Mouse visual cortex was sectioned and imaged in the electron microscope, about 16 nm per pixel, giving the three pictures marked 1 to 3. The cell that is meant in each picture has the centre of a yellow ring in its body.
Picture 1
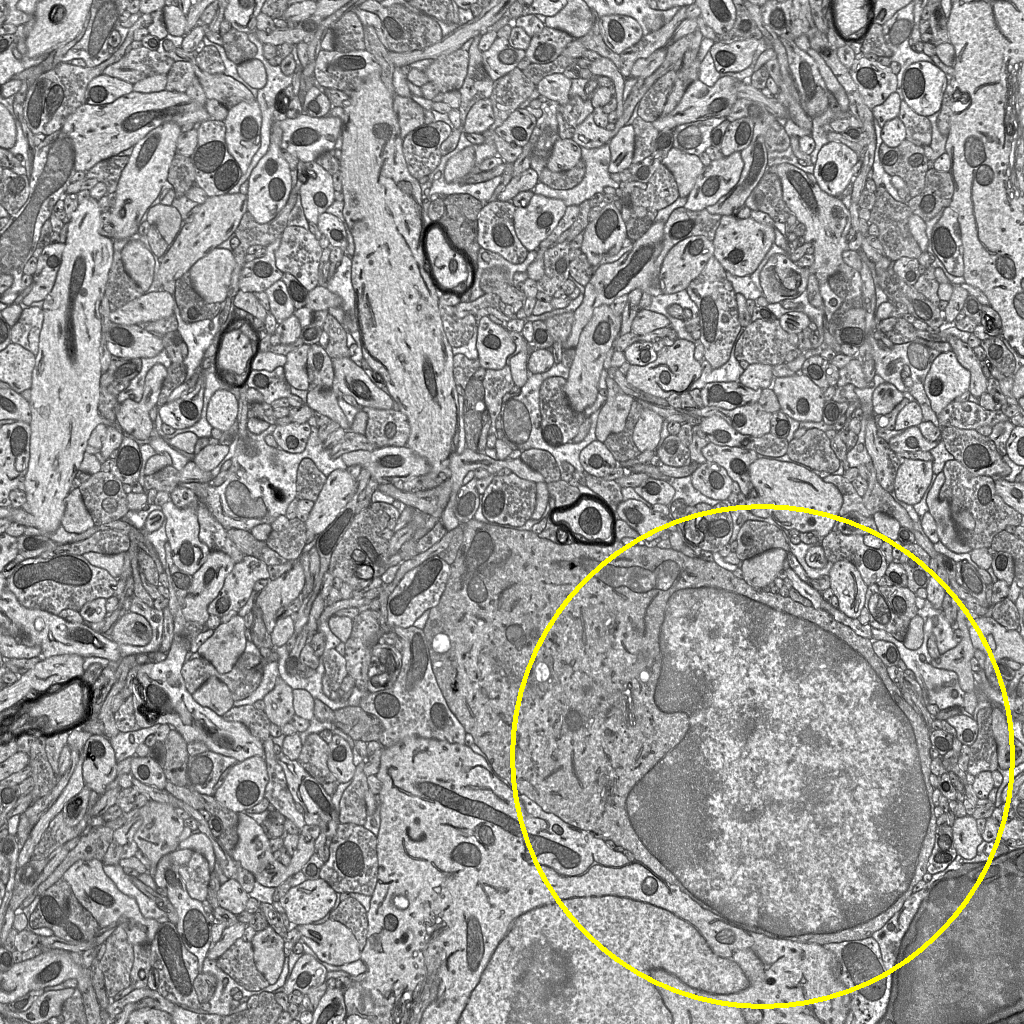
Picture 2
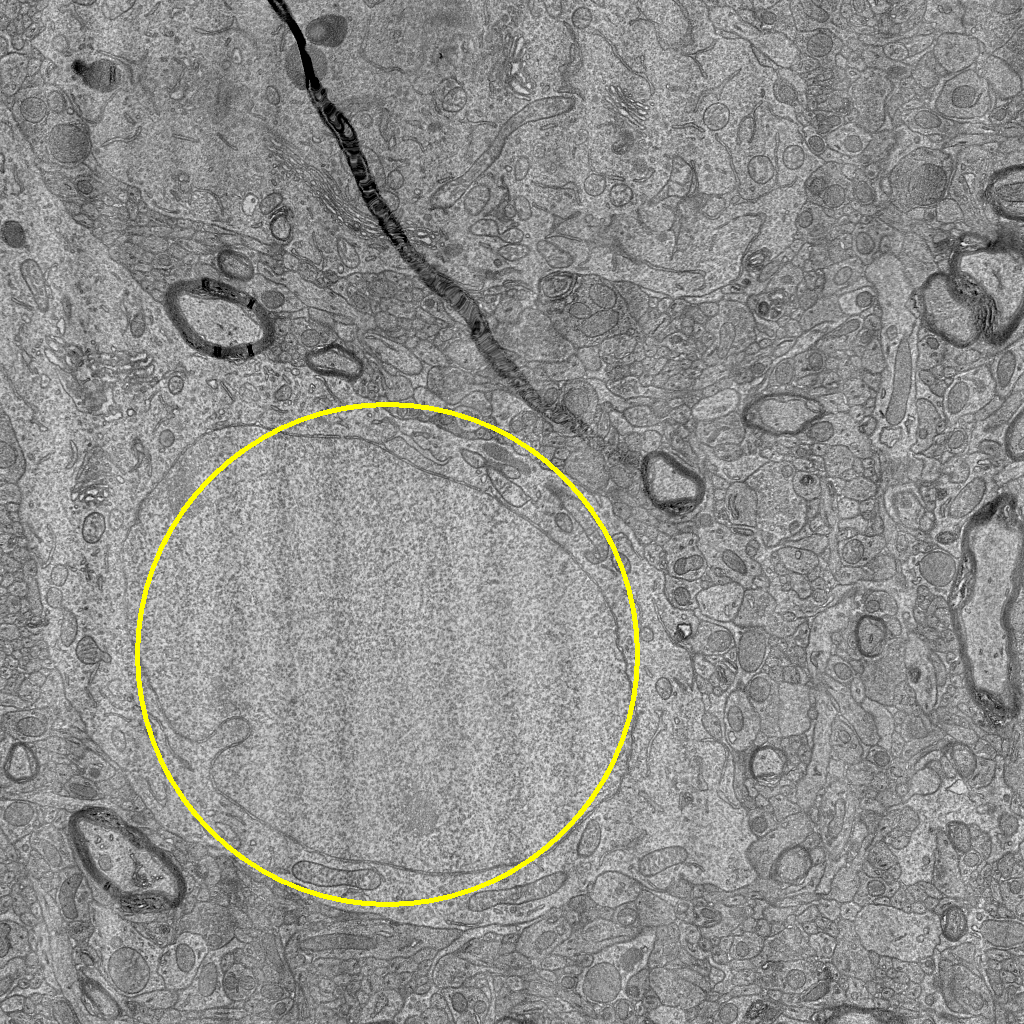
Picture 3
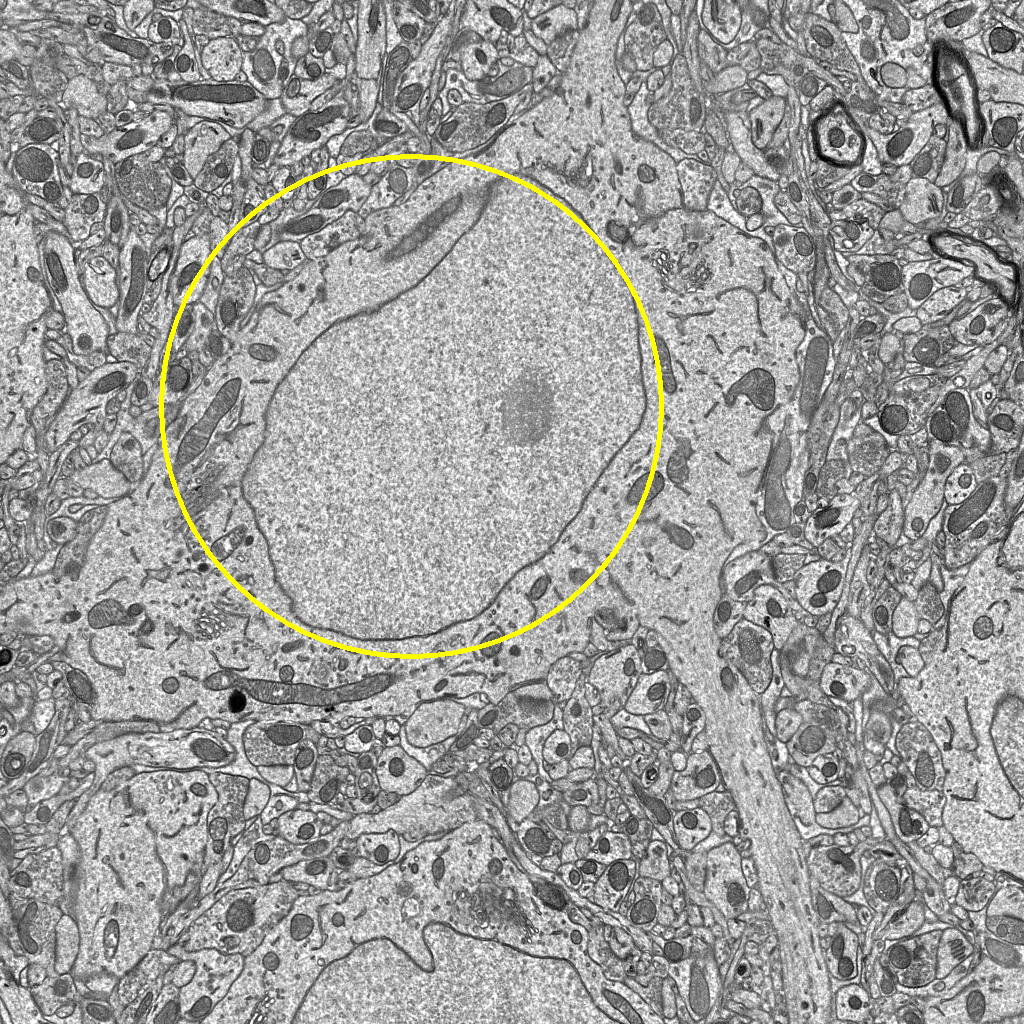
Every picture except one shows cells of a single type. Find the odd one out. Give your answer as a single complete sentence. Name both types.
Picture 1 differs, because its cell is an oligodendrocyte and the rest are excitatory neurons.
